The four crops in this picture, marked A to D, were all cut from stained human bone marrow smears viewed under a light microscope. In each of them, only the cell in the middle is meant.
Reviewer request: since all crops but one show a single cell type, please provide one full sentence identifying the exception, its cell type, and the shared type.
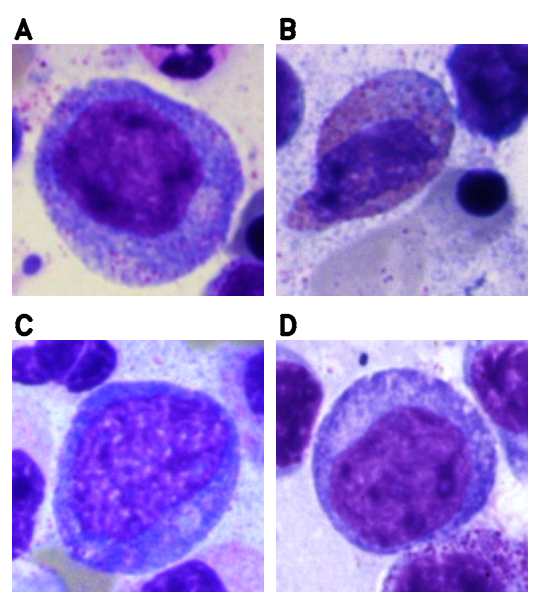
Only crop B differs, being an eosinophil, while the others all show promyelocytes.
